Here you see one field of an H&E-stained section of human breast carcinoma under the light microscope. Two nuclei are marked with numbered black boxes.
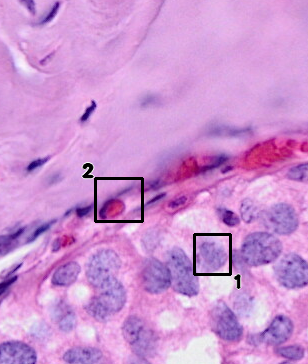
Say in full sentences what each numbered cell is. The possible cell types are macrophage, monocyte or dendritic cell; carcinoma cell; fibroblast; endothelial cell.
Cell 1 is a carcinoma cell. Cell 2 is an endothelial cell.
